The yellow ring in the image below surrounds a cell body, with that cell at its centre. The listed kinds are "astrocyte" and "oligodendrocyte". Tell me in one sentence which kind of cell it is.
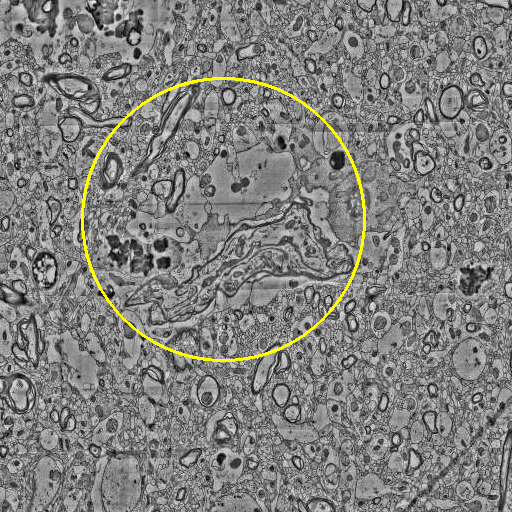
The centre of the ring holds an oligodendrocyte.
